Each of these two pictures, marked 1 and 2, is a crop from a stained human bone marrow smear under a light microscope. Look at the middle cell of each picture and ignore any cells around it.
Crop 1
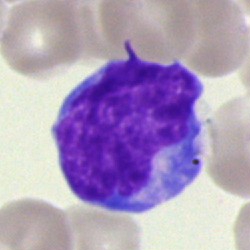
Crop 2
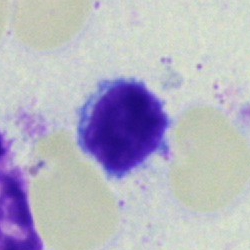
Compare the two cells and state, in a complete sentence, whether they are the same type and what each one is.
No, crop 2 centres on a lymphocyte, and crop 1 centres on a blast.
